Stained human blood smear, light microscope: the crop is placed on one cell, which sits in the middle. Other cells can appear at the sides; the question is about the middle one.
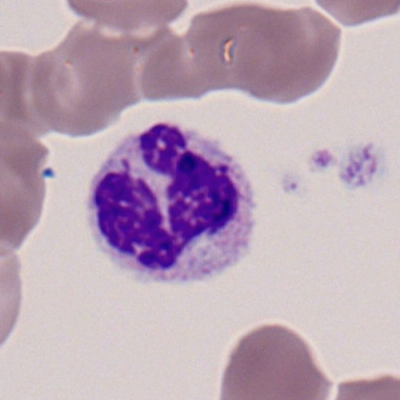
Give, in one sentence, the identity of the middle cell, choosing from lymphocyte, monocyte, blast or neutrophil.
The crop centres on a single cell, and that cell is a neutrophil.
